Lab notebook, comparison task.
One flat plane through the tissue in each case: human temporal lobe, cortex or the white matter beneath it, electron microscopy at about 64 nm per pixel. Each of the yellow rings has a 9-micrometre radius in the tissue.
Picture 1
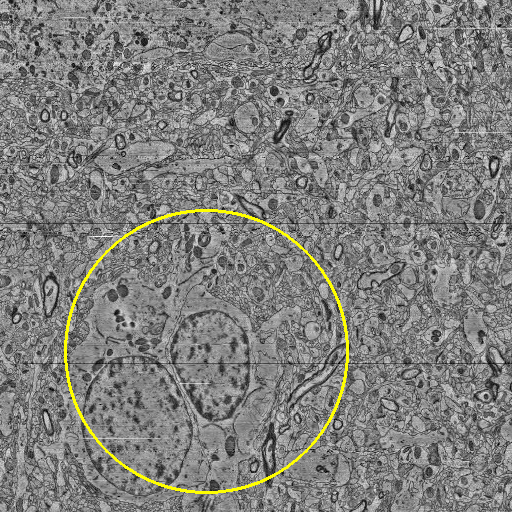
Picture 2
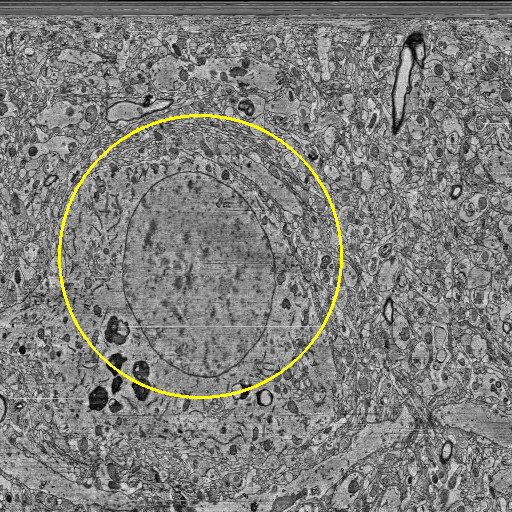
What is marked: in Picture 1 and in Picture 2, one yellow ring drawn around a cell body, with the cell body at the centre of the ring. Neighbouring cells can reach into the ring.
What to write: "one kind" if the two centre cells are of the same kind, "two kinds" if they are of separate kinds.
two kinds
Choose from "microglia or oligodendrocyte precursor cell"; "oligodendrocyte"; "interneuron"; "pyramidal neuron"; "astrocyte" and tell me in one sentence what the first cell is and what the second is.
What the first ring is centred on is an astrocyte; what the second ring is centred on is a pyramidal neuron.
